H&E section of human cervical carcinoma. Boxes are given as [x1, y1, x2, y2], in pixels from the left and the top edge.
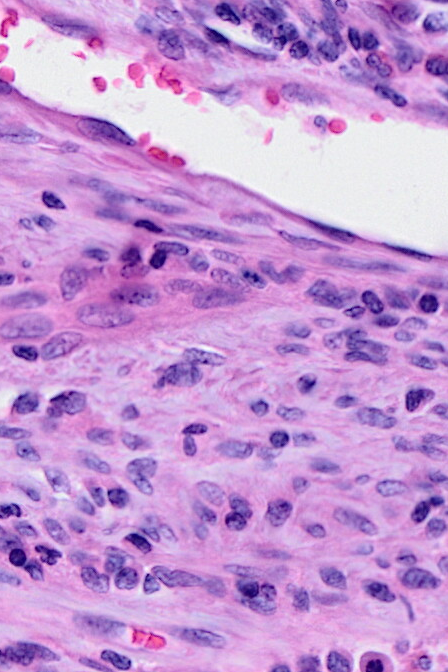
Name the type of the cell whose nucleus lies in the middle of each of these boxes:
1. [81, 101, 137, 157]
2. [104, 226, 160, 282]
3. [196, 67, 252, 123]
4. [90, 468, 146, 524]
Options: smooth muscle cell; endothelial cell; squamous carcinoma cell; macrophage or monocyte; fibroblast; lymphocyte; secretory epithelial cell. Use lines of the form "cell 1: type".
cell 1: endothelial cell
cell 2: lymphocyte
cell 3: endothelial cell
cell 4: lymphocyte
